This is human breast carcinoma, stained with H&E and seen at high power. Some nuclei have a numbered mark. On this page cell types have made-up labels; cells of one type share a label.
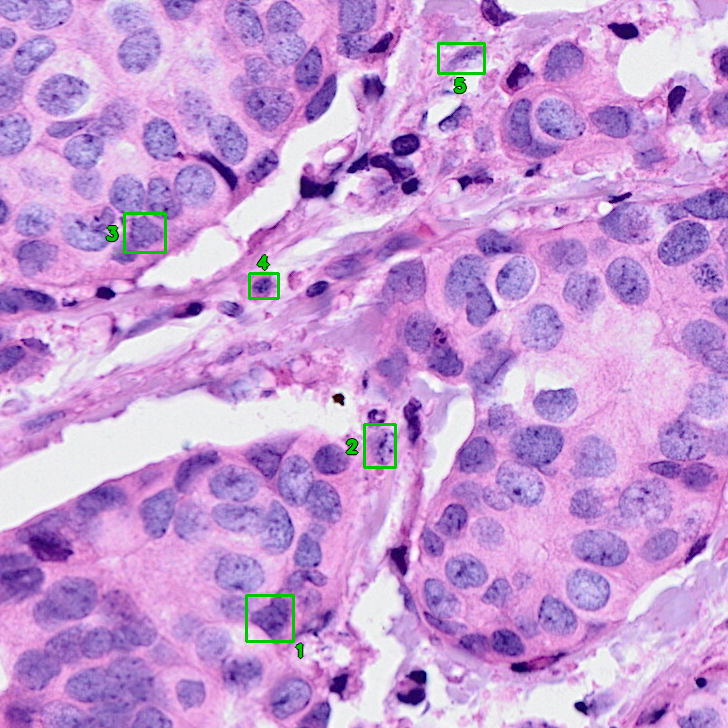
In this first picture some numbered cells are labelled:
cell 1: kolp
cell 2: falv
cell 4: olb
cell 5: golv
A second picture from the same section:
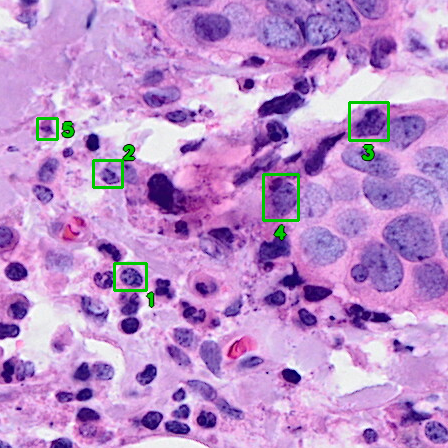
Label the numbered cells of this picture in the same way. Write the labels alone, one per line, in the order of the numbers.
olb
falv
kolp
kolp
falv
